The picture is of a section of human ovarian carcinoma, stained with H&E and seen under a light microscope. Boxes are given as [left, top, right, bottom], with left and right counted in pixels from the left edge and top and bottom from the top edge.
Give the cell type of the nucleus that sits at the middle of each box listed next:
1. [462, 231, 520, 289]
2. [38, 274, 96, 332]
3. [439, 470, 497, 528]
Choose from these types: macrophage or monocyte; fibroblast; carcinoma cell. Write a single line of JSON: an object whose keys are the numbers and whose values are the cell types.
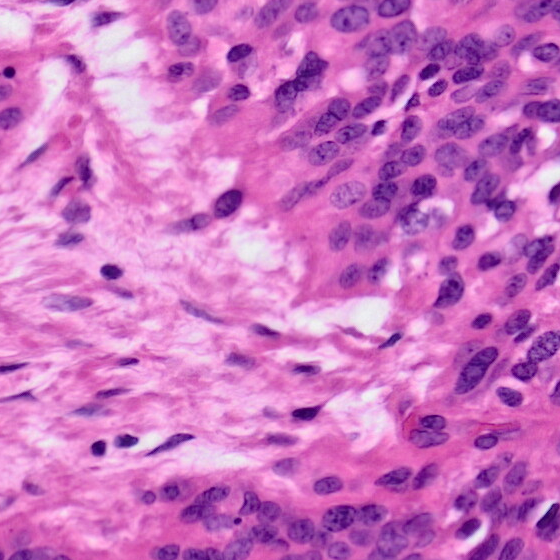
{"1": "carcinoma cell", "2": "fibroblast", "3": "carcinoma cell"}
